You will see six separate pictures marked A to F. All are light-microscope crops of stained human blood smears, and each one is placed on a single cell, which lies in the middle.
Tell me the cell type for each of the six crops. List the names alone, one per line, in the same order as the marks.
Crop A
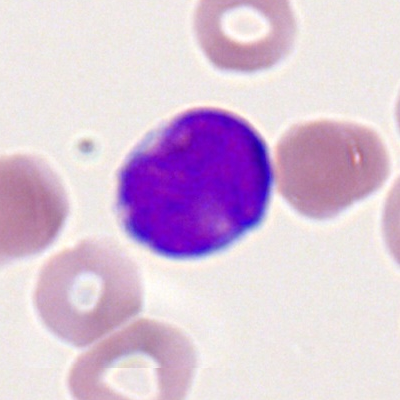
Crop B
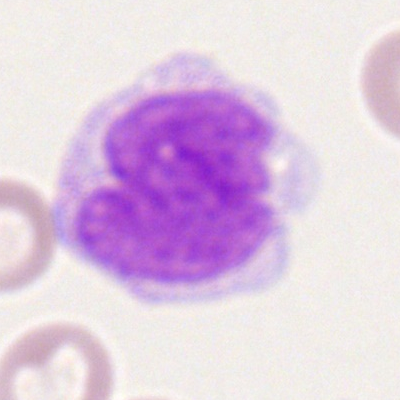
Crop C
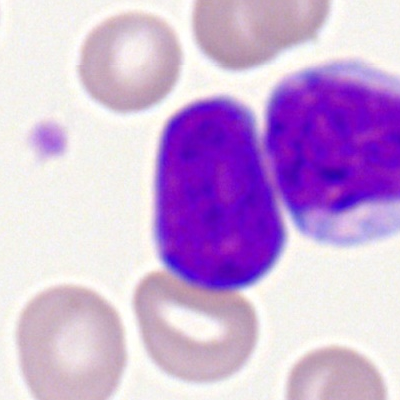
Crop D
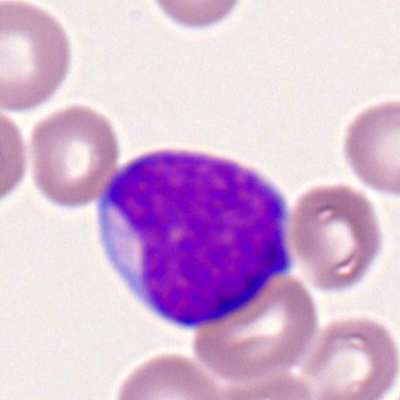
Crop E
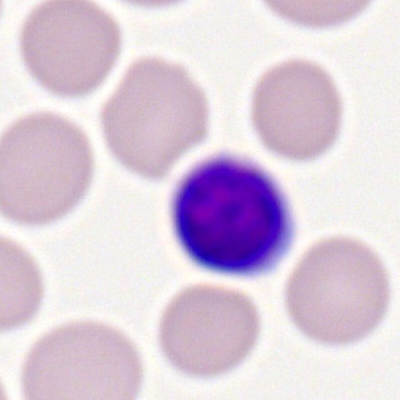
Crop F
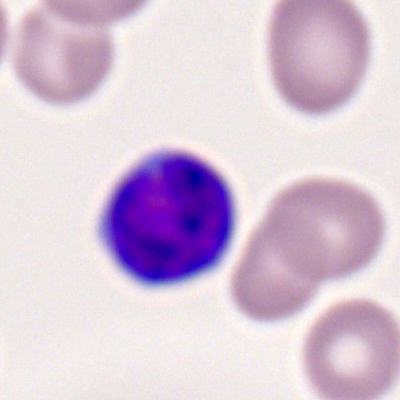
myeloblast
monocyte
myeloblast
myeloblast
lymphocyte
lymphocyte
